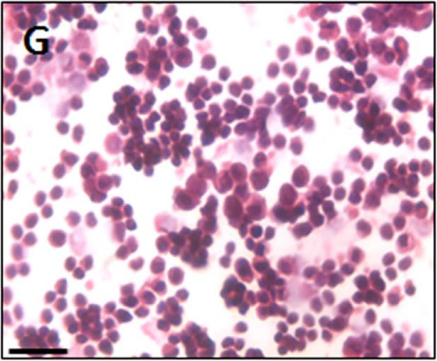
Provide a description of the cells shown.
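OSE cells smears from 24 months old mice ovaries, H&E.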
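Most cells have round, dark purple nuclei and a thin rim of pink cytoplasm, and clustered cells lie closely touching one another. Pale pink and bluish amorphous material lies between some groups.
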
